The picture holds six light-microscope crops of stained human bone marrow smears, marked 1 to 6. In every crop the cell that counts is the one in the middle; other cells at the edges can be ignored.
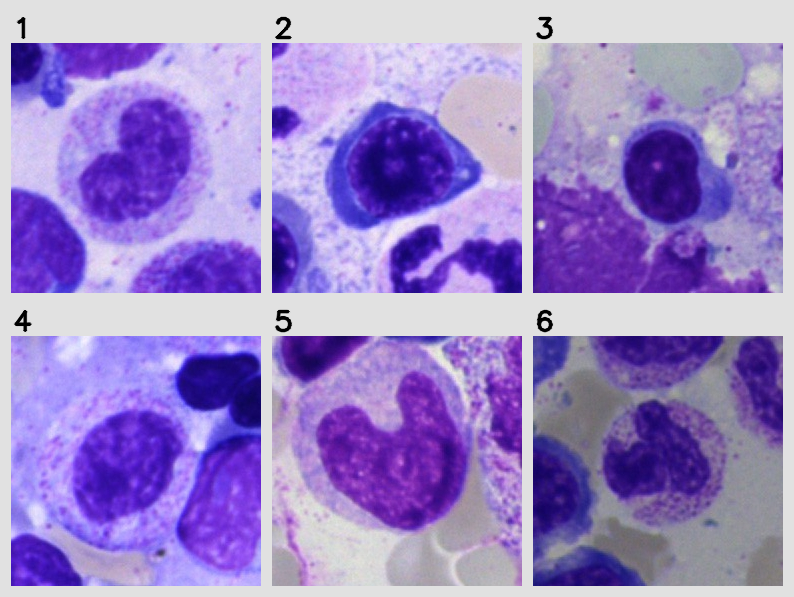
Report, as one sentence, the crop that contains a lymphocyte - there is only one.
Within this set, crop 3 is the one with a lymphocyte at its center.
